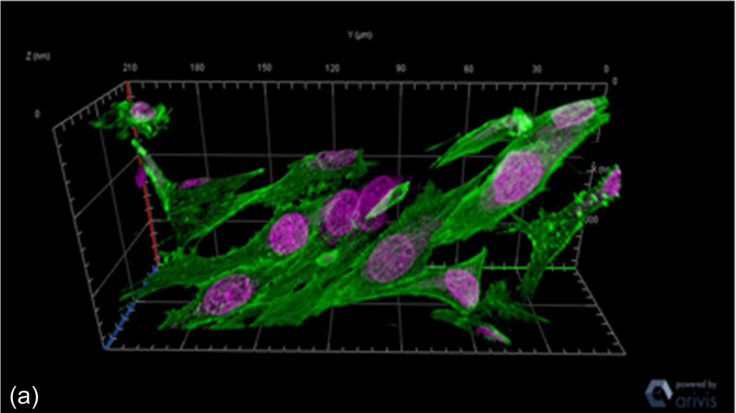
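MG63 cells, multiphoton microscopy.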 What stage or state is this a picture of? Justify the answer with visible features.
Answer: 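Spindle‐shaped. Cells are elongated and taper at both ends. Each cell has one oval nucleus in a drawn-out cytoplasm.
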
